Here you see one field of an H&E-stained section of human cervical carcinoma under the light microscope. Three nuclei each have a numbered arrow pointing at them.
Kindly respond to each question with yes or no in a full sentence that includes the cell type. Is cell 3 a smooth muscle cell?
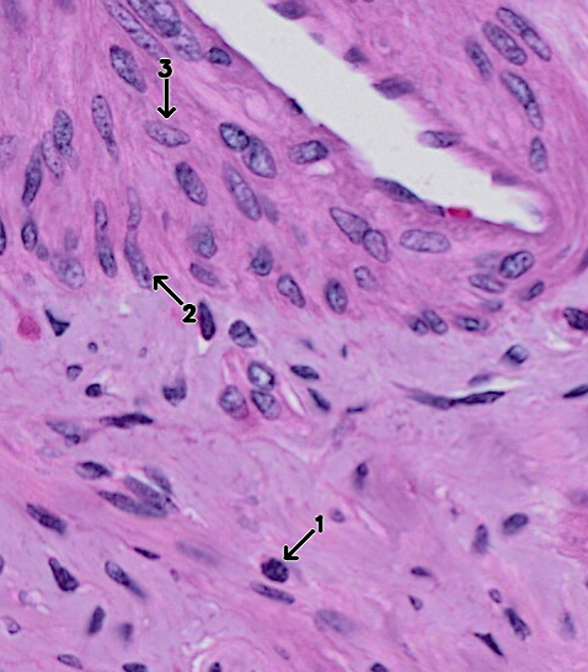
Yes, number 3 is assigned to a cell that is a smooth muscle cell.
